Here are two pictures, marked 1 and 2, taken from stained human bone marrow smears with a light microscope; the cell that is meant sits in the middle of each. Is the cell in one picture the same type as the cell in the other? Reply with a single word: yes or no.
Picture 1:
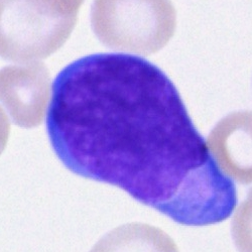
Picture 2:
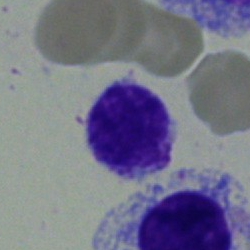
no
